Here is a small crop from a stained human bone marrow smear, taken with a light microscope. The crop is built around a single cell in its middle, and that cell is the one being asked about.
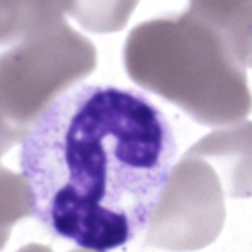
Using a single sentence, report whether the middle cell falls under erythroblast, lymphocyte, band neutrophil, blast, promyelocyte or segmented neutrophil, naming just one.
The cell at the heart of this crop is a segmented neutrophil.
